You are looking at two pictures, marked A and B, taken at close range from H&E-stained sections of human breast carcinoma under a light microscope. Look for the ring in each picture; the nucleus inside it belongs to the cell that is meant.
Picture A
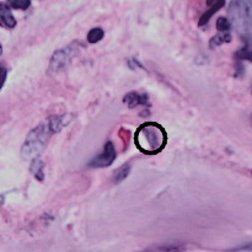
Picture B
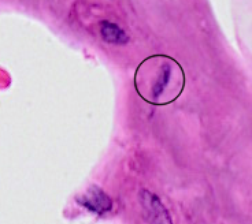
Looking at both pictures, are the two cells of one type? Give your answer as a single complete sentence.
No, the types are not the same, since picture A shows an endothelial cell and picture B a fibroblast.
